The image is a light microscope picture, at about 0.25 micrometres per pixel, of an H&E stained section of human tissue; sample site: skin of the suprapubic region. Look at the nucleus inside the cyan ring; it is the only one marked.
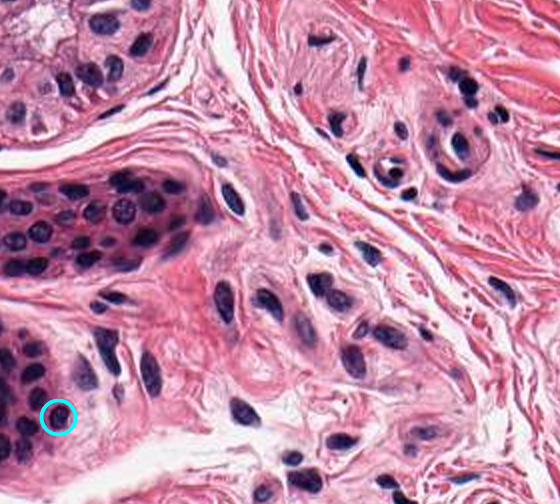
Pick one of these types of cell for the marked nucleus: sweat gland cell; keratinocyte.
sweat gland cell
